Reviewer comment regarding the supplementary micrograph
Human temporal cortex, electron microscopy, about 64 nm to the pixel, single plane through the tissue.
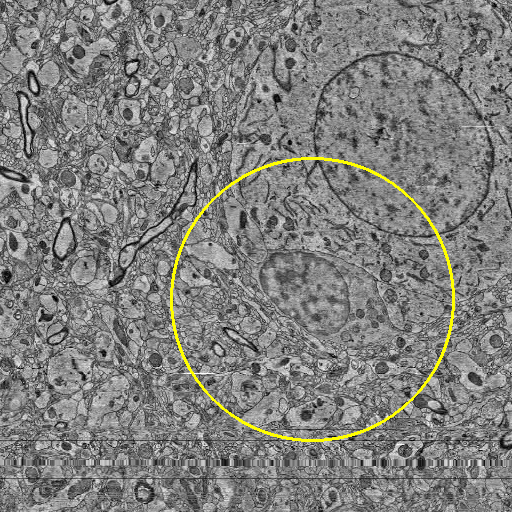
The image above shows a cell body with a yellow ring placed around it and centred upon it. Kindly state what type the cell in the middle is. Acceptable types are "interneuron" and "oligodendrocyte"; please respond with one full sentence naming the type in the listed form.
In the image above, the cell on which the yellow ring is centred is an oligodendrocyte.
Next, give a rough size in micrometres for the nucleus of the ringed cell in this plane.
In this plane, about 6 micrometres in length and 5 in width.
